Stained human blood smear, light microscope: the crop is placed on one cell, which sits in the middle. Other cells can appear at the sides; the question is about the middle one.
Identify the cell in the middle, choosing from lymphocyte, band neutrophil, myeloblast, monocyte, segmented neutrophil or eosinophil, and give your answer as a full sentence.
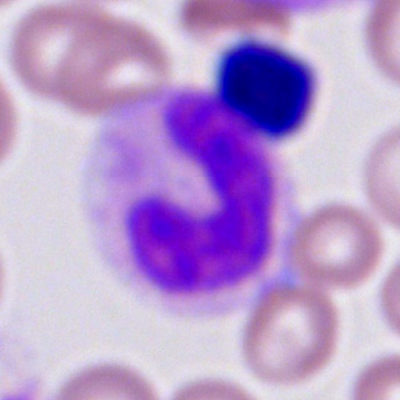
The cell centered in this field of view is a band neutrophil.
